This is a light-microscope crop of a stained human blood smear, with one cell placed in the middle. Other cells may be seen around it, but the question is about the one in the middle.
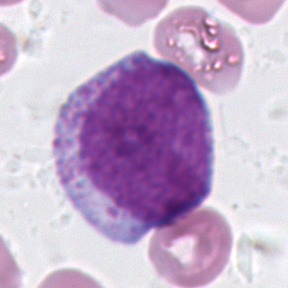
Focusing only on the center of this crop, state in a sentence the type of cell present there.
In short, the cell at the center is a promyelocyte.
